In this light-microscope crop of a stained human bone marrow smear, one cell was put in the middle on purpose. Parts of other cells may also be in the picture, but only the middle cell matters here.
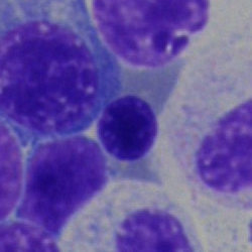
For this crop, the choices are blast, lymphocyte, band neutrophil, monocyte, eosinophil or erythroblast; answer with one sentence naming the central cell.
By type, the central cell of the crop is an erythroblast.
